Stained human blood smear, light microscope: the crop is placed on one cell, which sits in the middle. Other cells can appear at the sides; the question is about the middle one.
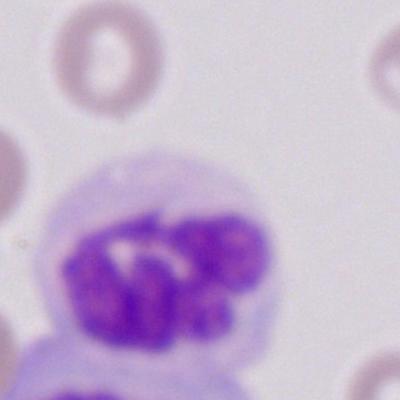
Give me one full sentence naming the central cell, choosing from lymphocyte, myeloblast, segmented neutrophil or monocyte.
The middle of this crop is occupied by a segmented neutrophil.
